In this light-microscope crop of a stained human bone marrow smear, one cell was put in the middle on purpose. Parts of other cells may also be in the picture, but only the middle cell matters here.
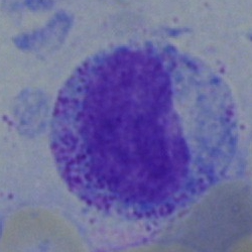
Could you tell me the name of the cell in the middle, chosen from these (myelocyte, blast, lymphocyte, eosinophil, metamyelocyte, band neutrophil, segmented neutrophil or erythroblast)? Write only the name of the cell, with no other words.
myelocyte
